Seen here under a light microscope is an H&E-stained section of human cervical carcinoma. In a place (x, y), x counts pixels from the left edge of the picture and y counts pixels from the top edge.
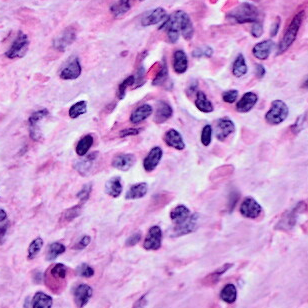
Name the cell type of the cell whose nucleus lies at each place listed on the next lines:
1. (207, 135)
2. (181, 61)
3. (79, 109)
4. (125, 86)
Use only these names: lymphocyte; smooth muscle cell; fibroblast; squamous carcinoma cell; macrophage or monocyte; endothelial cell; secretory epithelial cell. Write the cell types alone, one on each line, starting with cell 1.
lymphocyte
lymphocyte
lymphocyte
endothelial cell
